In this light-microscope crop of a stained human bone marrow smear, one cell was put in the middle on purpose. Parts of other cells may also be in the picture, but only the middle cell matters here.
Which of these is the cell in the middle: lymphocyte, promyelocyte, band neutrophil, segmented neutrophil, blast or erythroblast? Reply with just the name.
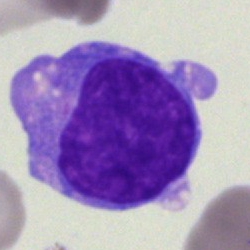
blast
